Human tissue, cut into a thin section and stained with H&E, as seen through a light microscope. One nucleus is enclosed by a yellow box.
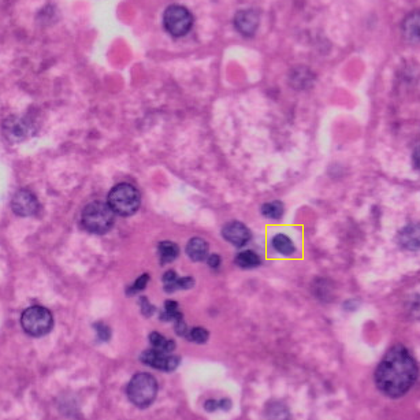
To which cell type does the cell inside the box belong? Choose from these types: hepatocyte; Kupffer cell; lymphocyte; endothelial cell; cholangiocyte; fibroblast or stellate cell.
lymphocyte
